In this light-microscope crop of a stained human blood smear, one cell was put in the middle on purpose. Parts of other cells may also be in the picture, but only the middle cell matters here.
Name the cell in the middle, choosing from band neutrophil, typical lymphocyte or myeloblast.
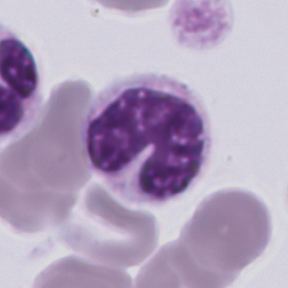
band neutrophil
